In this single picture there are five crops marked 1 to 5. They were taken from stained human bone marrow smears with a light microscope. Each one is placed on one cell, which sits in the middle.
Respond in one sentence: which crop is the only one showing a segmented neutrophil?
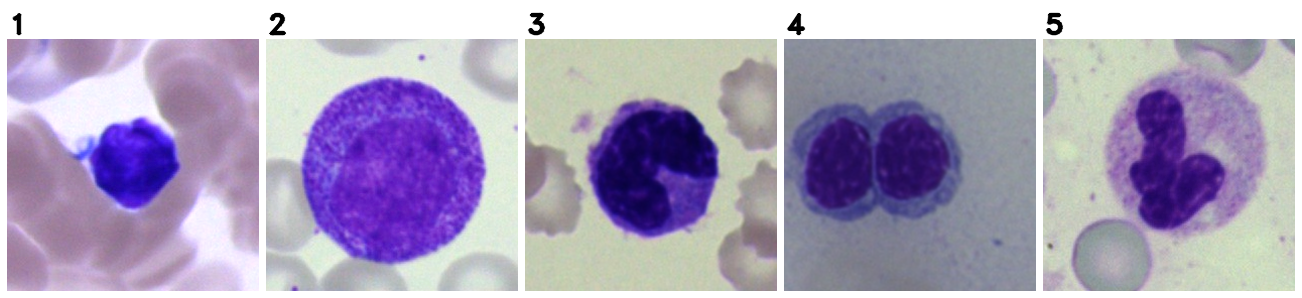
The crop with a segmented neutrophil at its center is crop 5.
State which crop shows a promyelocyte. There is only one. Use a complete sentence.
Of the labeled crops, the one with a promyelocyte is crop 2.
